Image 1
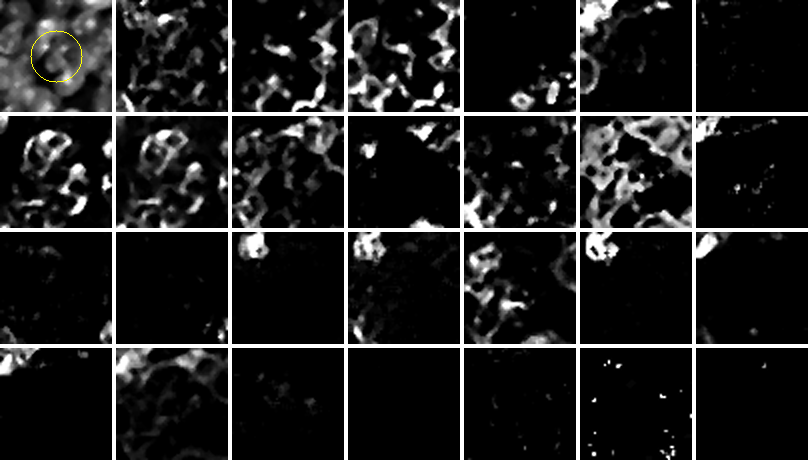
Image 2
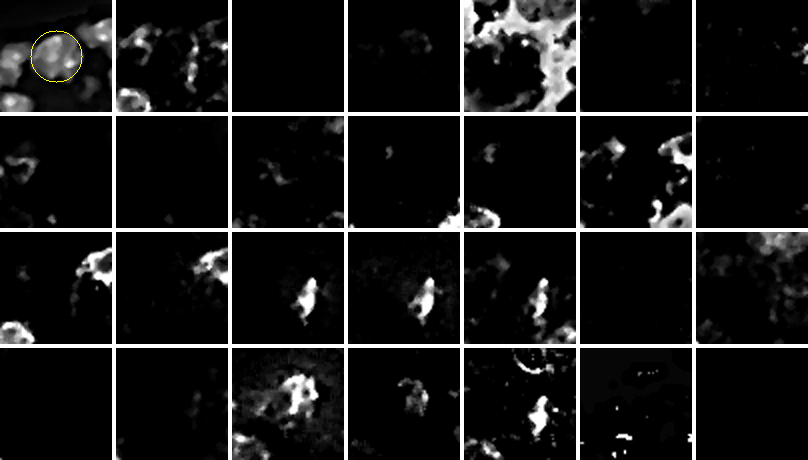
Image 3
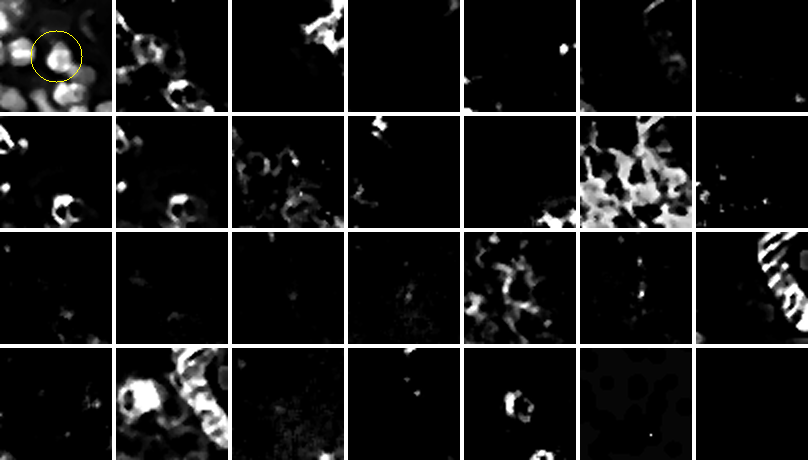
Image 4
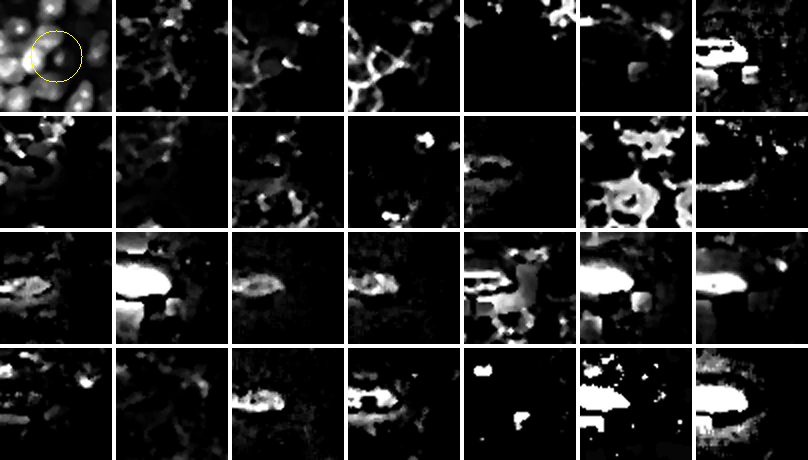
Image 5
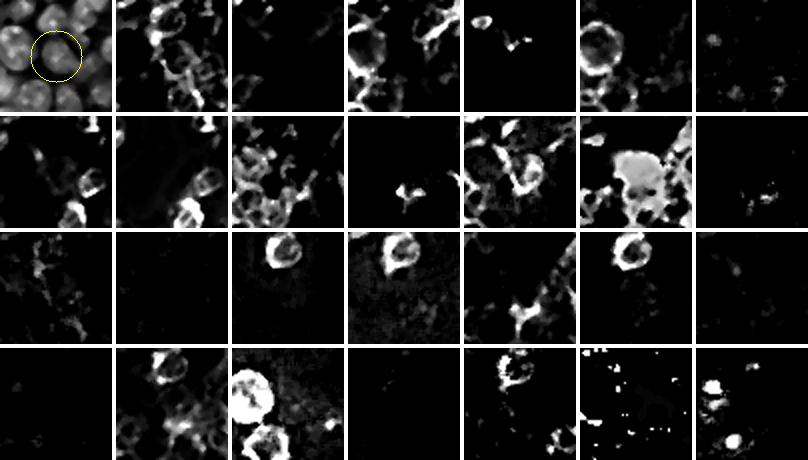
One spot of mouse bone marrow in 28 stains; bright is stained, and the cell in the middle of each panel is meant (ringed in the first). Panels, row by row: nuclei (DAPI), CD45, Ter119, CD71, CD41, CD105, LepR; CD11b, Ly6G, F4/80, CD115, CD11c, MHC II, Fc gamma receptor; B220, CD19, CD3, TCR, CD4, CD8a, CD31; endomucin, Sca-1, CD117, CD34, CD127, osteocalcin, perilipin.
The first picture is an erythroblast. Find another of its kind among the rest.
Picture 4.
